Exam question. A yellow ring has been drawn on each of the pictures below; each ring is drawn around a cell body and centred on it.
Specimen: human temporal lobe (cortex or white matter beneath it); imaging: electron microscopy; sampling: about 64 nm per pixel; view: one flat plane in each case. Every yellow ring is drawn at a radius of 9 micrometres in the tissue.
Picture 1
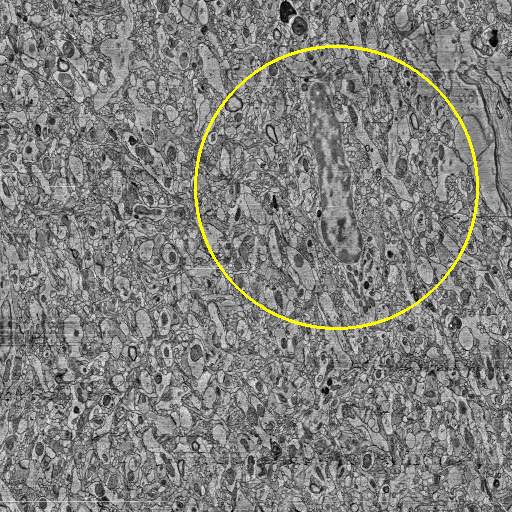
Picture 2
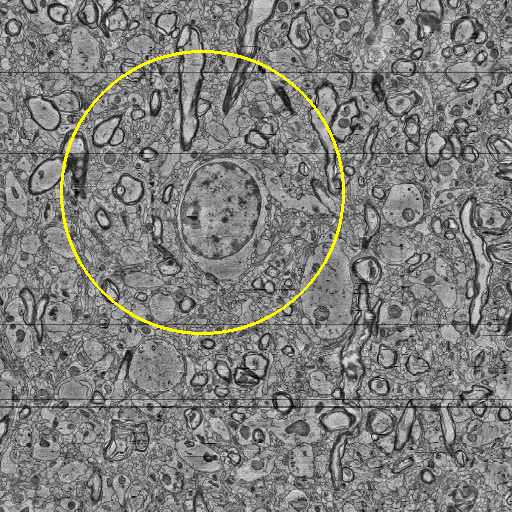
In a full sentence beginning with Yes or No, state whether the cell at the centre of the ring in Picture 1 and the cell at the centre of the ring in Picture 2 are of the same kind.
Yes, the two cells are of the same kind.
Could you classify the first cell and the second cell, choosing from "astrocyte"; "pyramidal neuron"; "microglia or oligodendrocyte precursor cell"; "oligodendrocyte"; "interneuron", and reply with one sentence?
In both pictures the ring is centred on a microglial cell or oligodendrocyte precursor cell.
